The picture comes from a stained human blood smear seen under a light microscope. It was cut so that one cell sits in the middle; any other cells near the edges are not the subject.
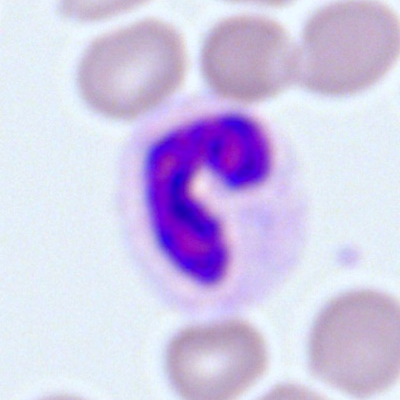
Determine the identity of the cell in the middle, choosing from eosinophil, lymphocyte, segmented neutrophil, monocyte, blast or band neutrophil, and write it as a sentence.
The cell occupying the middle of the crop is a band neutrophil.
